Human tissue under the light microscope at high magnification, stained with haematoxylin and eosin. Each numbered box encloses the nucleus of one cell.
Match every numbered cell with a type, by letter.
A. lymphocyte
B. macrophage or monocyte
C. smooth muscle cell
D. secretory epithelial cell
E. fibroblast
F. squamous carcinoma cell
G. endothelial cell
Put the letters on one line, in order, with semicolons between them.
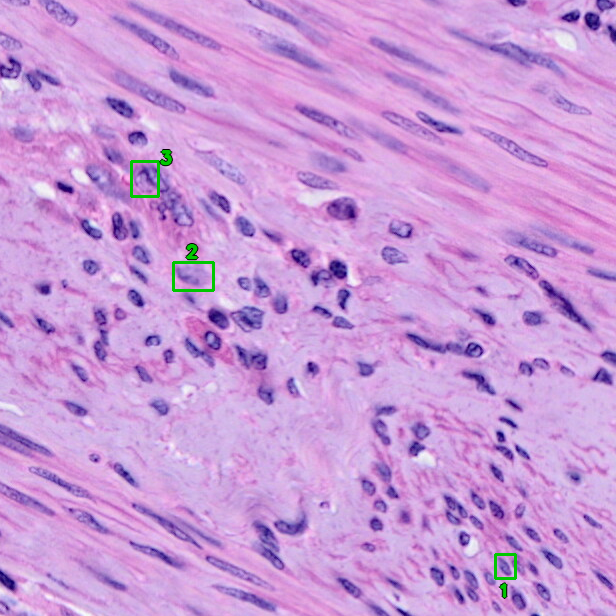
C; G; G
